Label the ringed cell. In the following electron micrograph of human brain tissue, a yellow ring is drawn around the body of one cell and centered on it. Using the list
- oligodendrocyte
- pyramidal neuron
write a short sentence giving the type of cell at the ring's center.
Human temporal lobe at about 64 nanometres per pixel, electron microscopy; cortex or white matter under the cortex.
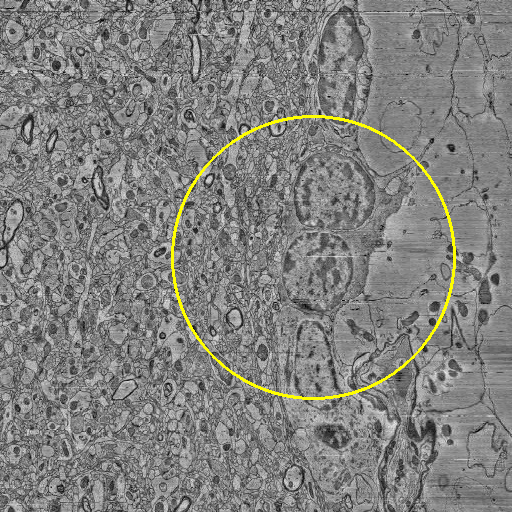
The cell body at the ring's center is that of an oligodendrocyte.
